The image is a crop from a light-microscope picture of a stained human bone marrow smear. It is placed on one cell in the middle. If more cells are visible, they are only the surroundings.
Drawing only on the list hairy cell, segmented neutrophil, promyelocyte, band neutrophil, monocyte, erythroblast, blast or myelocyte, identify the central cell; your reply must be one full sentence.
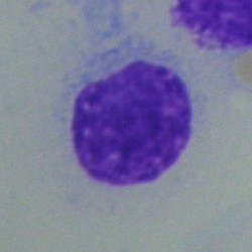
Whatever else lies nearby, the middle cell is a hairy cell.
